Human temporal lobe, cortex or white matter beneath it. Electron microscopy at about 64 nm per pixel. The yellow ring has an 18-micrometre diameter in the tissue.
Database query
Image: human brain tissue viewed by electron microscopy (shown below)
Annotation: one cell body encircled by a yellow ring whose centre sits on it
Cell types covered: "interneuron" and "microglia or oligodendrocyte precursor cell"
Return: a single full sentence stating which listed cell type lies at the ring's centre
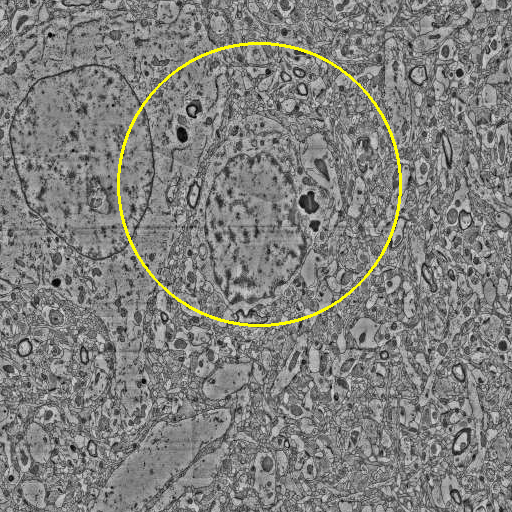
In the image, the cell lying at the ring's centre is an interneuron.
